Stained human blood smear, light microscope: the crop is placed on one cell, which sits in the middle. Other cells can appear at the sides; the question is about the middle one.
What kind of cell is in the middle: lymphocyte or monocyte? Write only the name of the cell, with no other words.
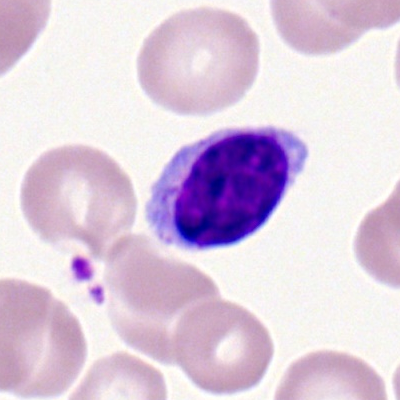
lymphocyte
